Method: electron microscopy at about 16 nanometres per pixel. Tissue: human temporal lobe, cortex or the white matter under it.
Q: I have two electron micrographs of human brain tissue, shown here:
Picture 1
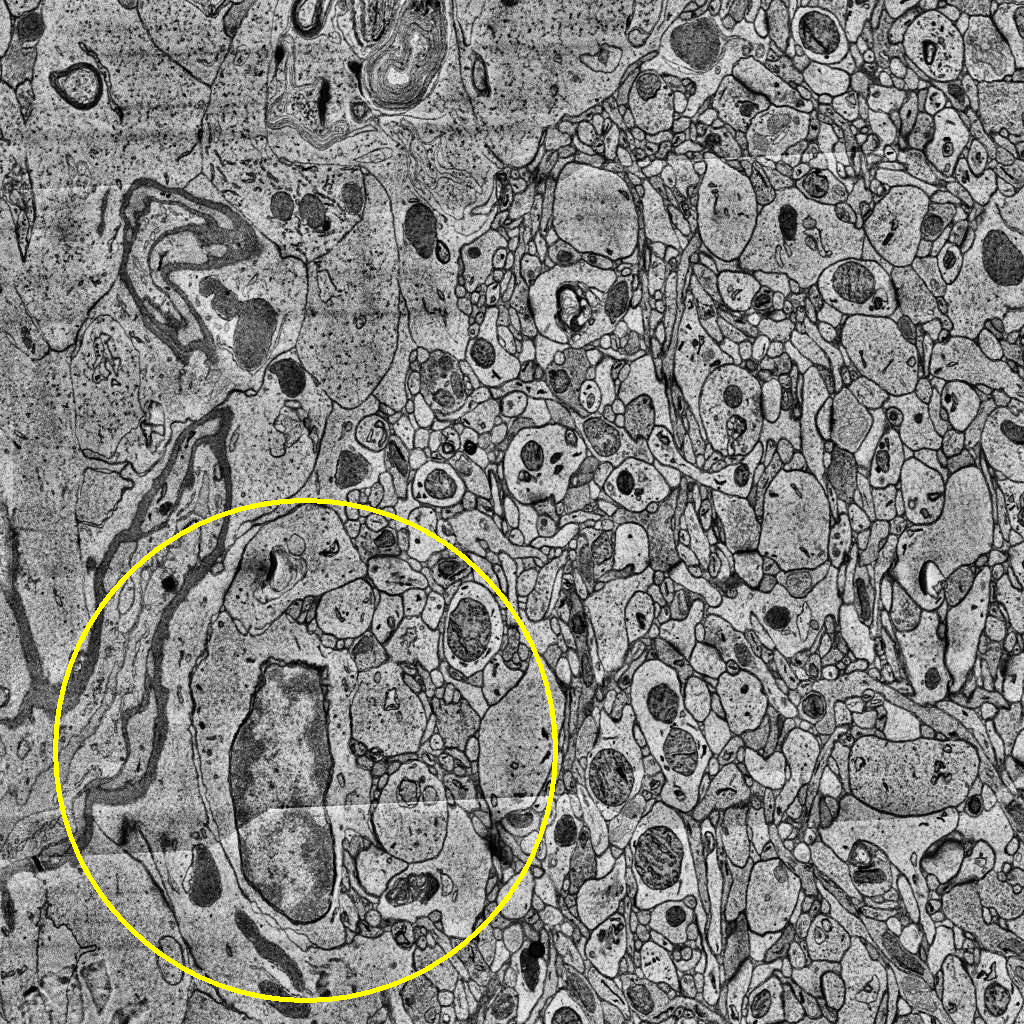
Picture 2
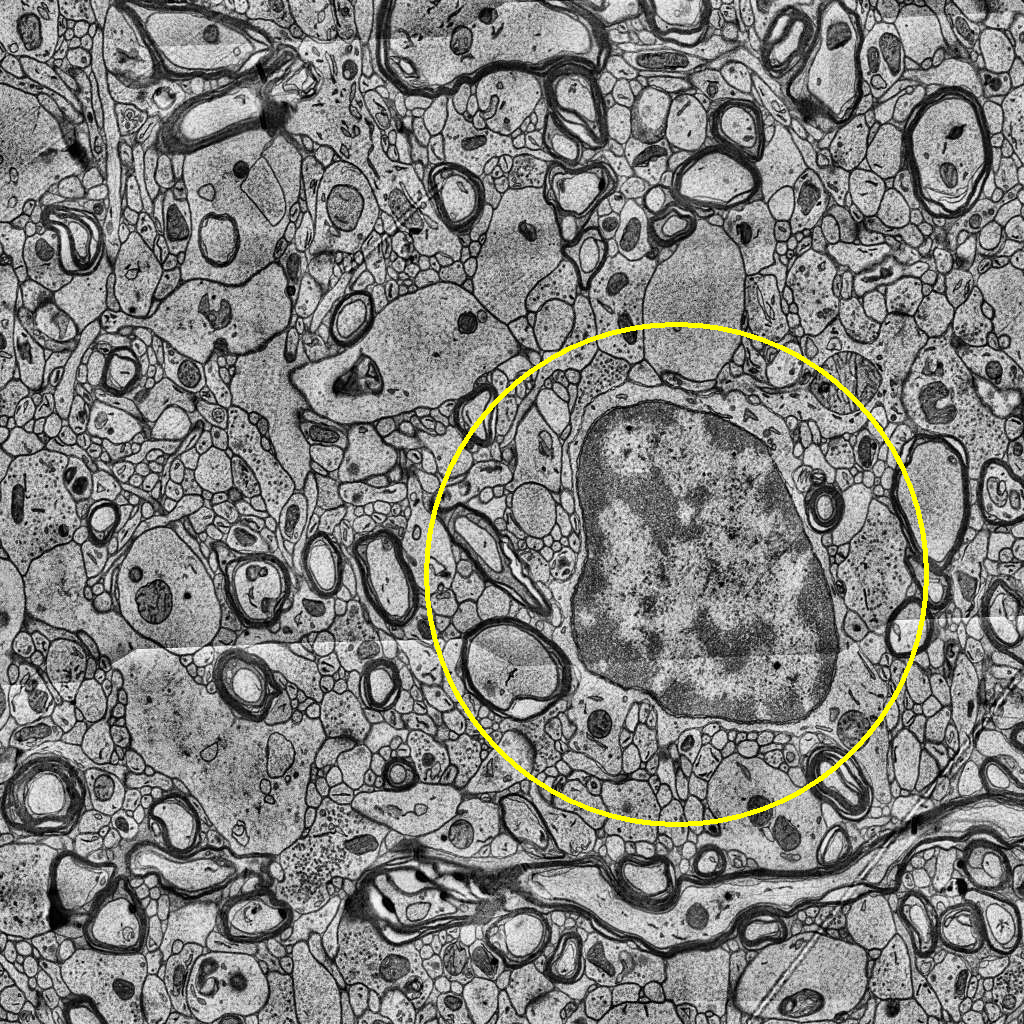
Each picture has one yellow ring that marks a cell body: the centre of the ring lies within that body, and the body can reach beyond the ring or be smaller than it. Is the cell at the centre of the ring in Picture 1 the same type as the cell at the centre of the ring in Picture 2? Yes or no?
yes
